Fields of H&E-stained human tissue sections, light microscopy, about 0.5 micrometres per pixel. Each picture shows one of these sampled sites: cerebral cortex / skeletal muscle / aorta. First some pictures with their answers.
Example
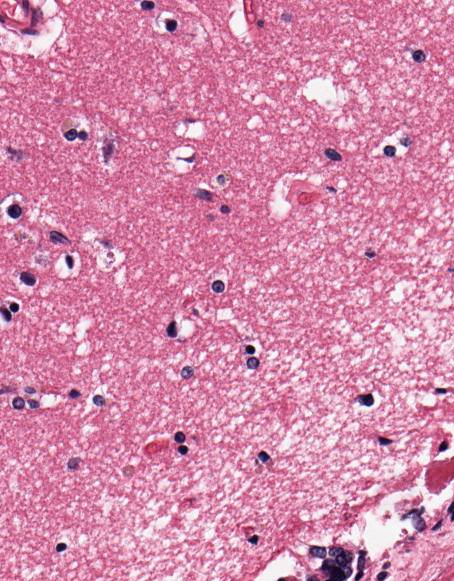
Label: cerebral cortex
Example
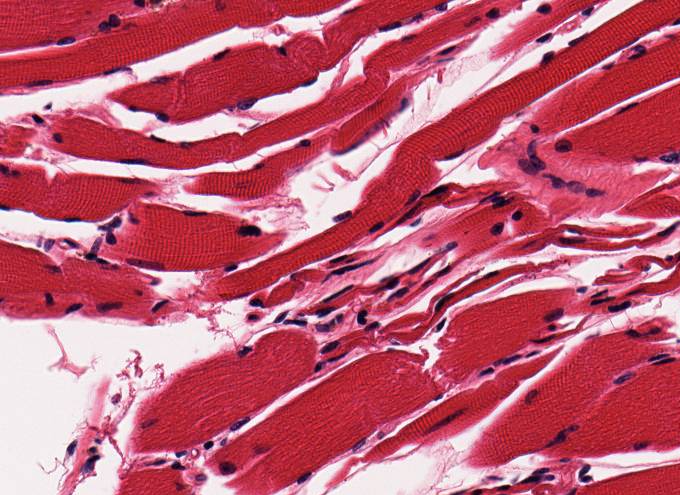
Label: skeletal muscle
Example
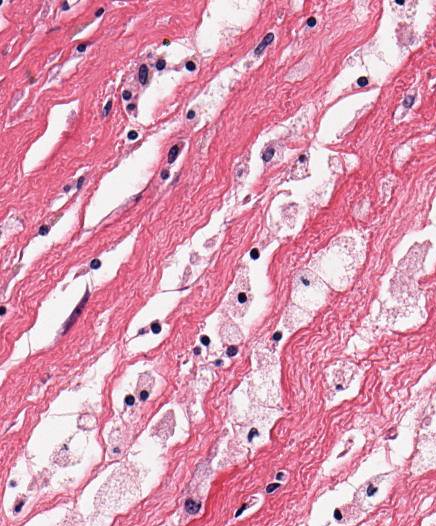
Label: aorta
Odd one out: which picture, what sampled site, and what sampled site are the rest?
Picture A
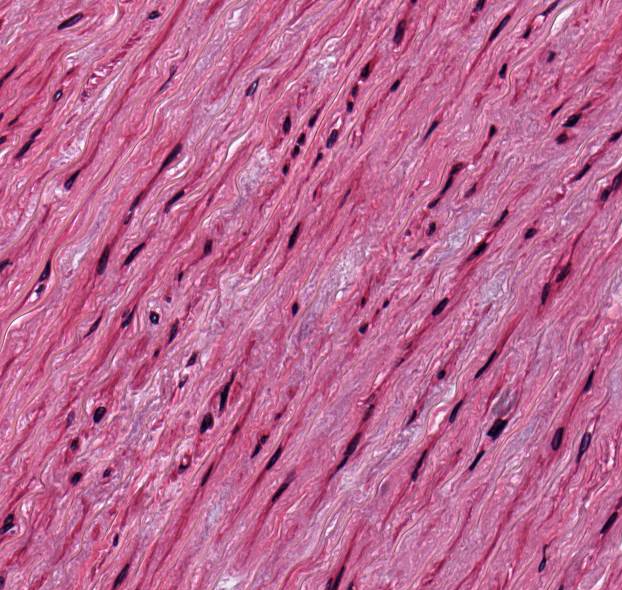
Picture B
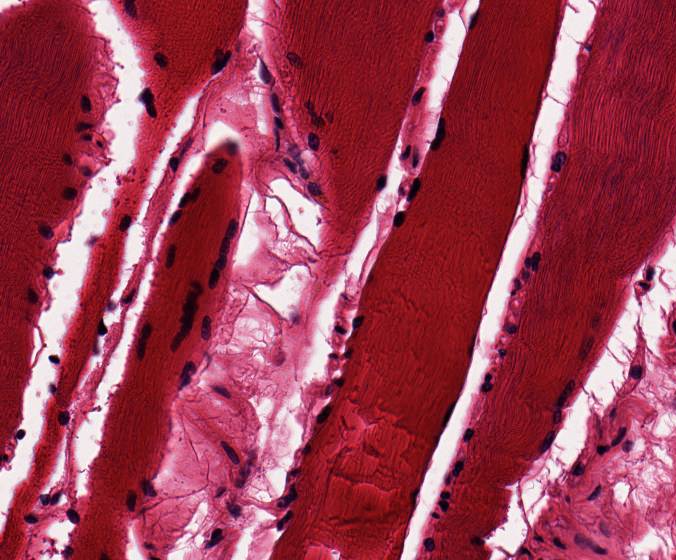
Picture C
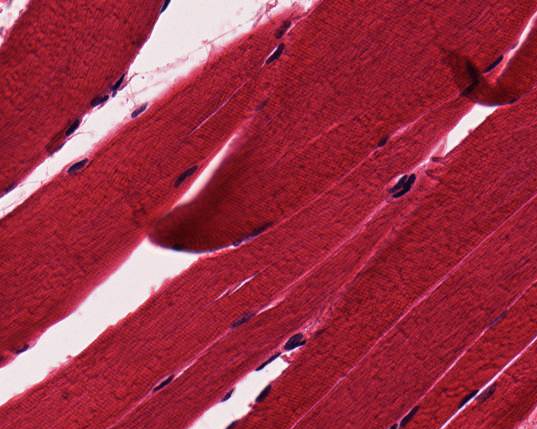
A: aorta; all the others: skeletal muscle.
